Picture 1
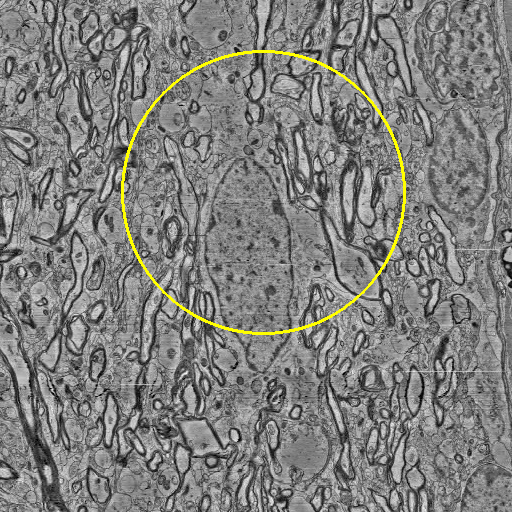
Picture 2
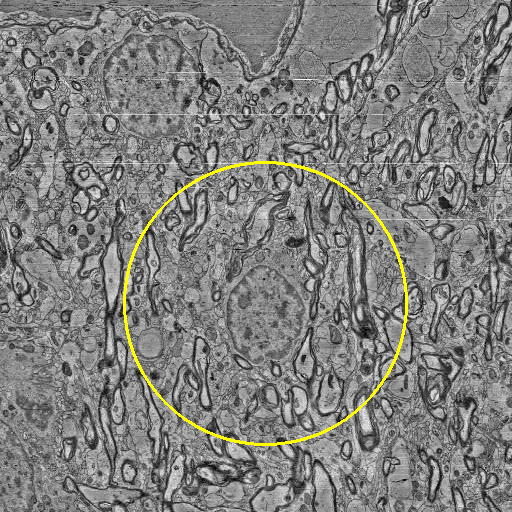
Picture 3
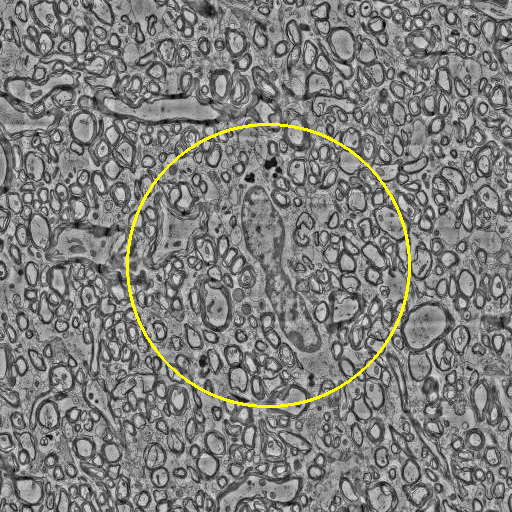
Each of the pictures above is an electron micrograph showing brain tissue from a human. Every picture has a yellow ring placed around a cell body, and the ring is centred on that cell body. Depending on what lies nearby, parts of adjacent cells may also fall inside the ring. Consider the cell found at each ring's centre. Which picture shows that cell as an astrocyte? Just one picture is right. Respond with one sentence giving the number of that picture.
The picture showing the wanted cell at the ring's centre is number 1.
